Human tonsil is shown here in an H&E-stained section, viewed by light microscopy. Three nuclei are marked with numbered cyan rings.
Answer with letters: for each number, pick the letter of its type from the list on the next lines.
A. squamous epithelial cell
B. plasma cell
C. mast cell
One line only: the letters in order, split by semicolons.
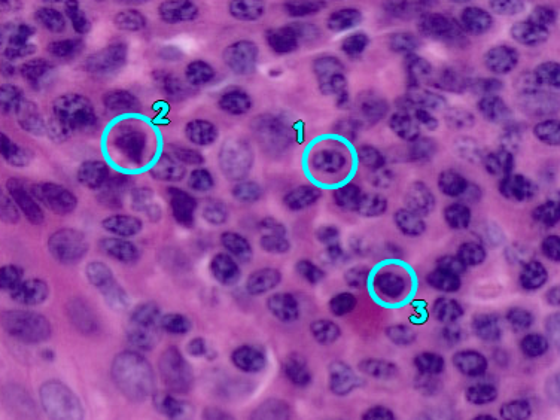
B; A; B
